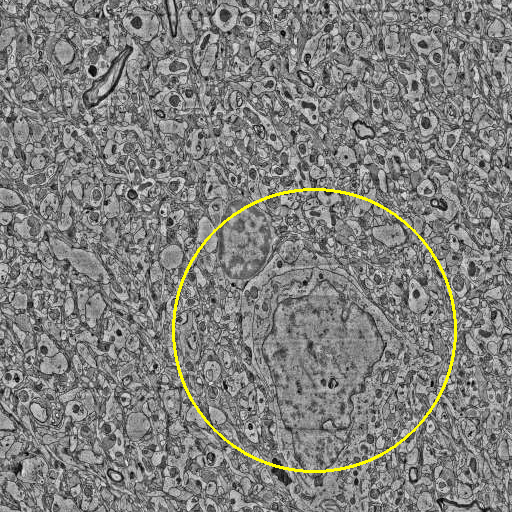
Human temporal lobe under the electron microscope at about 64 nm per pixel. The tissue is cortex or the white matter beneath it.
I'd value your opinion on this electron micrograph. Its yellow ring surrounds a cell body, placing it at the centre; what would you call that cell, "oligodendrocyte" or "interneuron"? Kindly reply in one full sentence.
It is an interneuron that sits centred within the yellow ring in this micrograph.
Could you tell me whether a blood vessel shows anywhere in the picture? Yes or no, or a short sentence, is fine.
No, there is no blood vessel.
